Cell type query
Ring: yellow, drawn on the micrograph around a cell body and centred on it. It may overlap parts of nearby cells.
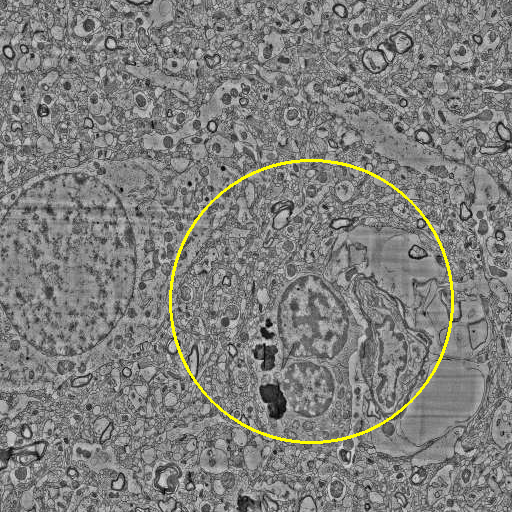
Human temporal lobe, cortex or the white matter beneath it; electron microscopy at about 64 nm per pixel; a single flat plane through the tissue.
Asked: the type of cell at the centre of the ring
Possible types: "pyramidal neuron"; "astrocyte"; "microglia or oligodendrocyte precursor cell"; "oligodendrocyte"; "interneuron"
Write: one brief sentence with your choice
The ring marks an oligodendrocyte.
